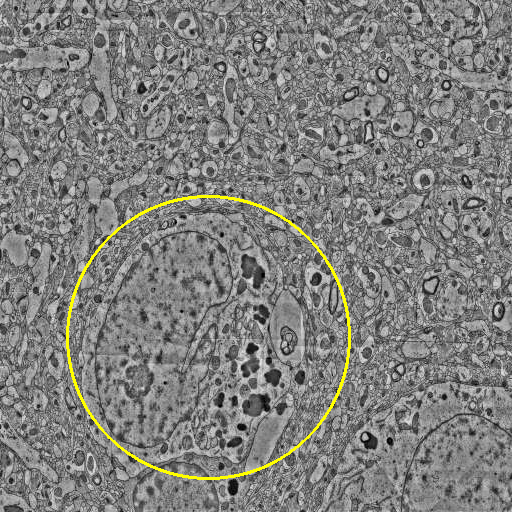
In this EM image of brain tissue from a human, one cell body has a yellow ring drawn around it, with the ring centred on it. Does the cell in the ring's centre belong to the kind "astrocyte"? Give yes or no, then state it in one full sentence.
No, in the picture, the cell centred in the yellow ring belongs to another kind.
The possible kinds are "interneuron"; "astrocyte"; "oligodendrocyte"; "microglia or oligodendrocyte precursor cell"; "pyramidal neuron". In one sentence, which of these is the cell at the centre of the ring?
The correct answer is that the cell is an interneuron.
